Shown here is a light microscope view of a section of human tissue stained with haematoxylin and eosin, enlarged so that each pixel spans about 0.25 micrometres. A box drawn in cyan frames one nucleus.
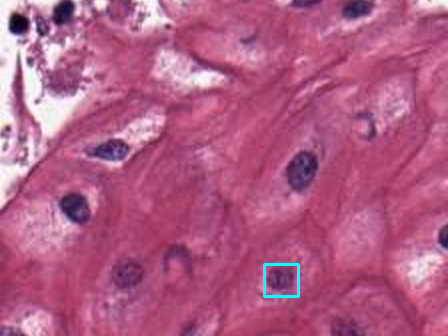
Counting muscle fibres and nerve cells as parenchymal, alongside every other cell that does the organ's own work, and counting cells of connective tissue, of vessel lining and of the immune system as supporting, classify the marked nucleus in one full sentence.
The marked nucleus is located in a parenchymal cell, namely a squamous epithelial cell.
